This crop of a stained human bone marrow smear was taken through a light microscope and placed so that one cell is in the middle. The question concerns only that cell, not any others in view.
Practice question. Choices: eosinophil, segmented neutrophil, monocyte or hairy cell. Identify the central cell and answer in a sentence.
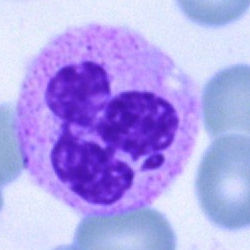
The cell shown in the center of this light-microscope crop is a segmented neutrophil.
